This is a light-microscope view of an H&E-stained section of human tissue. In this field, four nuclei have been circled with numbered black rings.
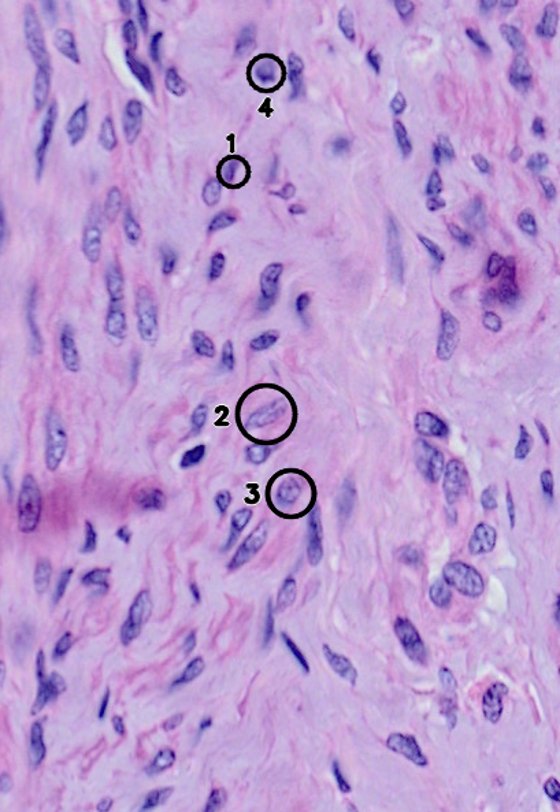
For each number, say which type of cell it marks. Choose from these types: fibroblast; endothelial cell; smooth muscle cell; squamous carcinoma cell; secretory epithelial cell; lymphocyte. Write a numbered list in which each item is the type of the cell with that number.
1. smooth muscle cell
2. smooth muscle cell
3. smooth muscle cell
4. fibroblast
